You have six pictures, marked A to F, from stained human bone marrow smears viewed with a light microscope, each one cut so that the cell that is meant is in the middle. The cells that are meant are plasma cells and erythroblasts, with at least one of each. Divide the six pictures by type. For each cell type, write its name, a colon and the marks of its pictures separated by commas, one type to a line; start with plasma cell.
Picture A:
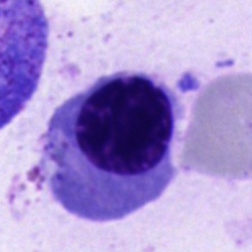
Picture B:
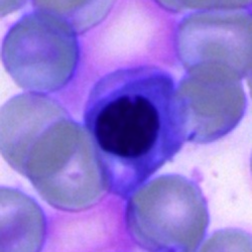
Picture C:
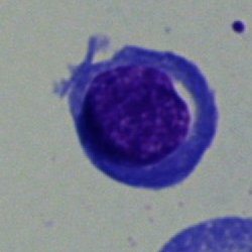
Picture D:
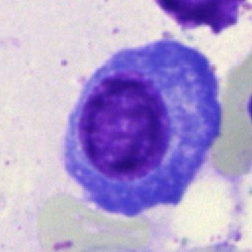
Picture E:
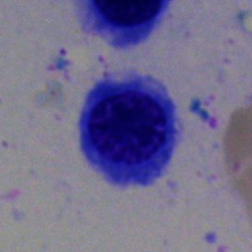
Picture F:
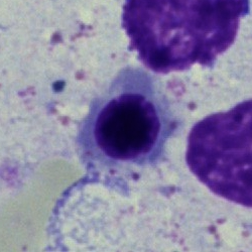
plasma cell: C, D
erythroblast: A, B, E, F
